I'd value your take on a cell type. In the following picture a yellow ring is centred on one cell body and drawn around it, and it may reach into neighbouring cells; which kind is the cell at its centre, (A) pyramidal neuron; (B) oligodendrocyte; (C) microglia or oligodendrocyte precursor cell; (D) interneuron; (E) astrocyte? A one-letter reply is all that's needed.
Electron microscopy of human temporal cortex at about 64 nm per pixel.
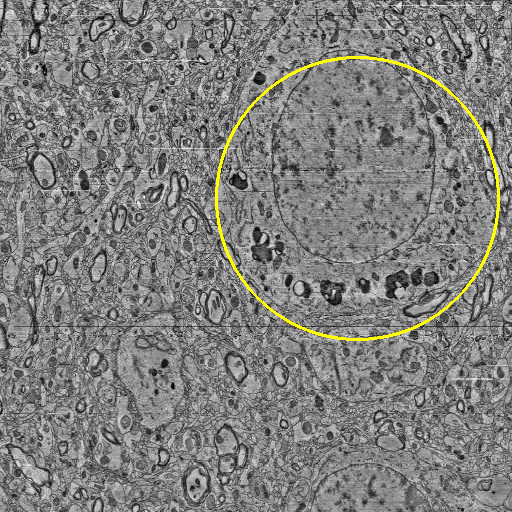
A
